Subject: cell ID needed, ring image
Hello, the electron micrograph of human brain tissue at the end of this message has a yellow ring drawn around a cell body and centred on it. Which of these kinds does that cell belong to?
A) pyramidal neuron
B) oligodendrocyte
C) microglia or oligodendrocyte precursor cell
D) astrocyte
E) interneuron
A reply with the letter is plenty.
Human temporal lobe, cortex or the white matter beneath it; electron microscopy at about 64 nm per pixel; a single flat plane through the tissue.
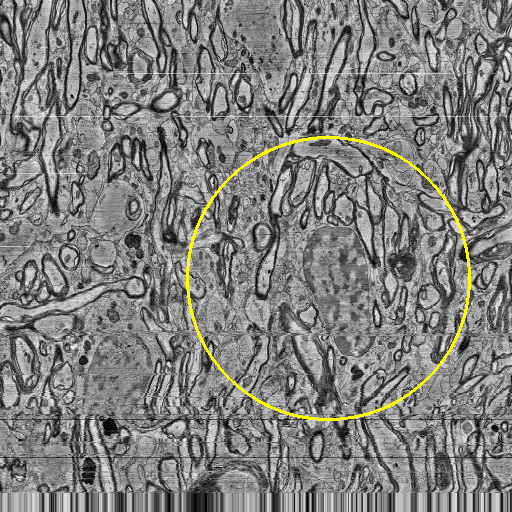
C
